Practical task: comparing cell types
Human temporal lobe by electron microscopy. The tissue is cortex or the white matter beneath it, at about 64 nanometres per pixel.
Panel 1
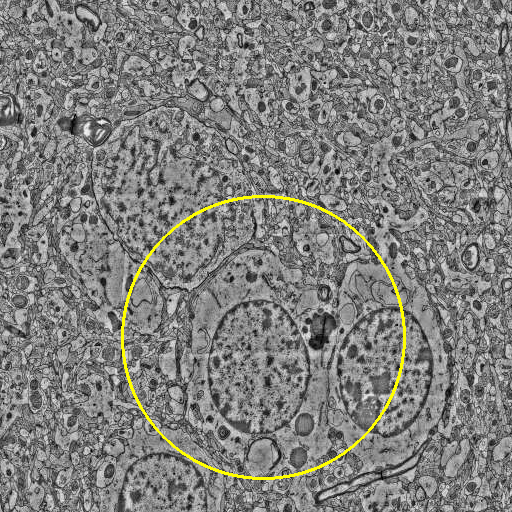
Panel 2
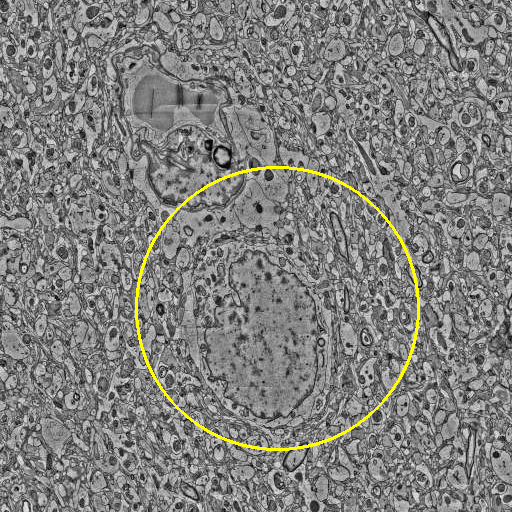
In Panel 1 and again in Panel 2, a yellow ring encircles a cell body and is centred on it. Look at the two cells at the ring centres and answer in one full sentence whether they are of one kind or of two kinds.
The two cells sitting at the ring centres of Panels 1 and 2 are of two kinds.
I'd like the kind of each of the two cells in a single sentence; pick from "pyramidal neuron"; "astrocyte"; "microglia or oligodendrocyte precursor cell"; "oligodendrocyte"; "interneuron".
The first ring marks an astrocyte, and the second ring marks an interneuron.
